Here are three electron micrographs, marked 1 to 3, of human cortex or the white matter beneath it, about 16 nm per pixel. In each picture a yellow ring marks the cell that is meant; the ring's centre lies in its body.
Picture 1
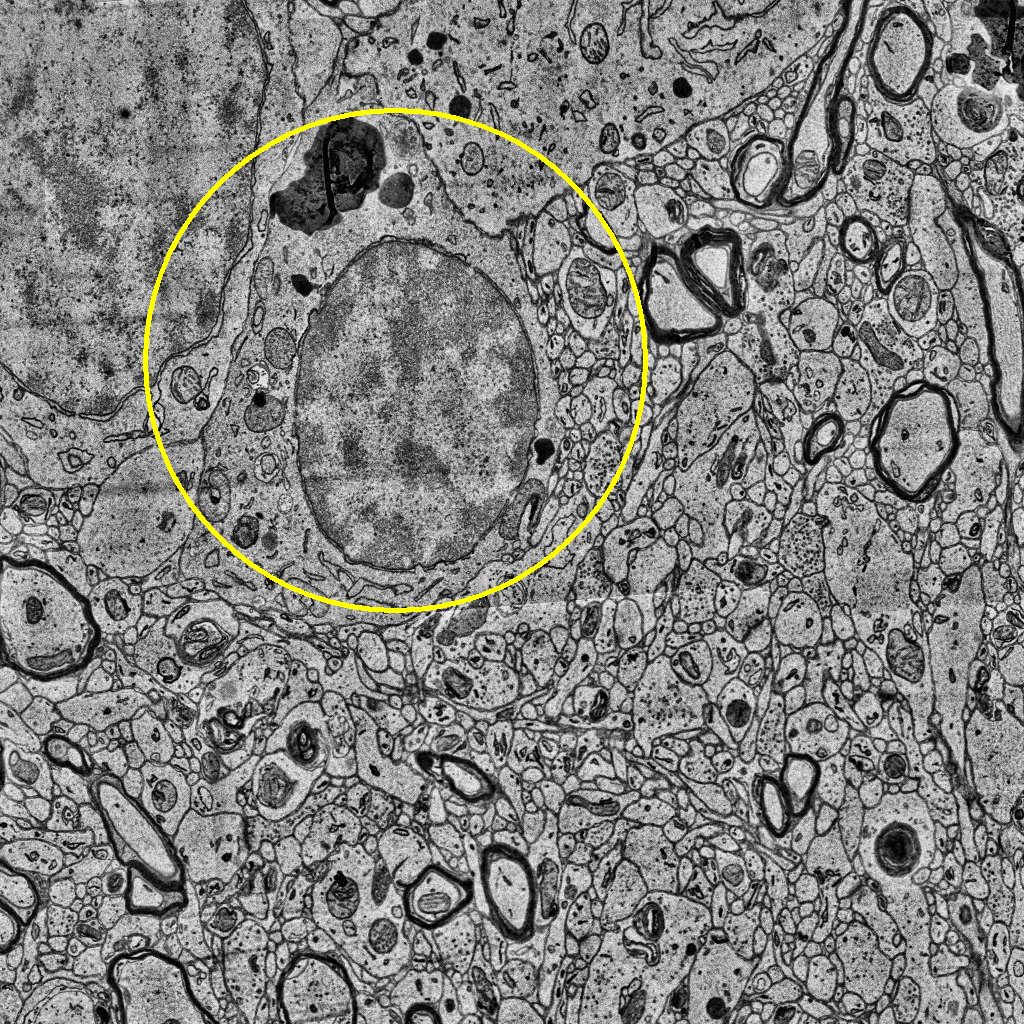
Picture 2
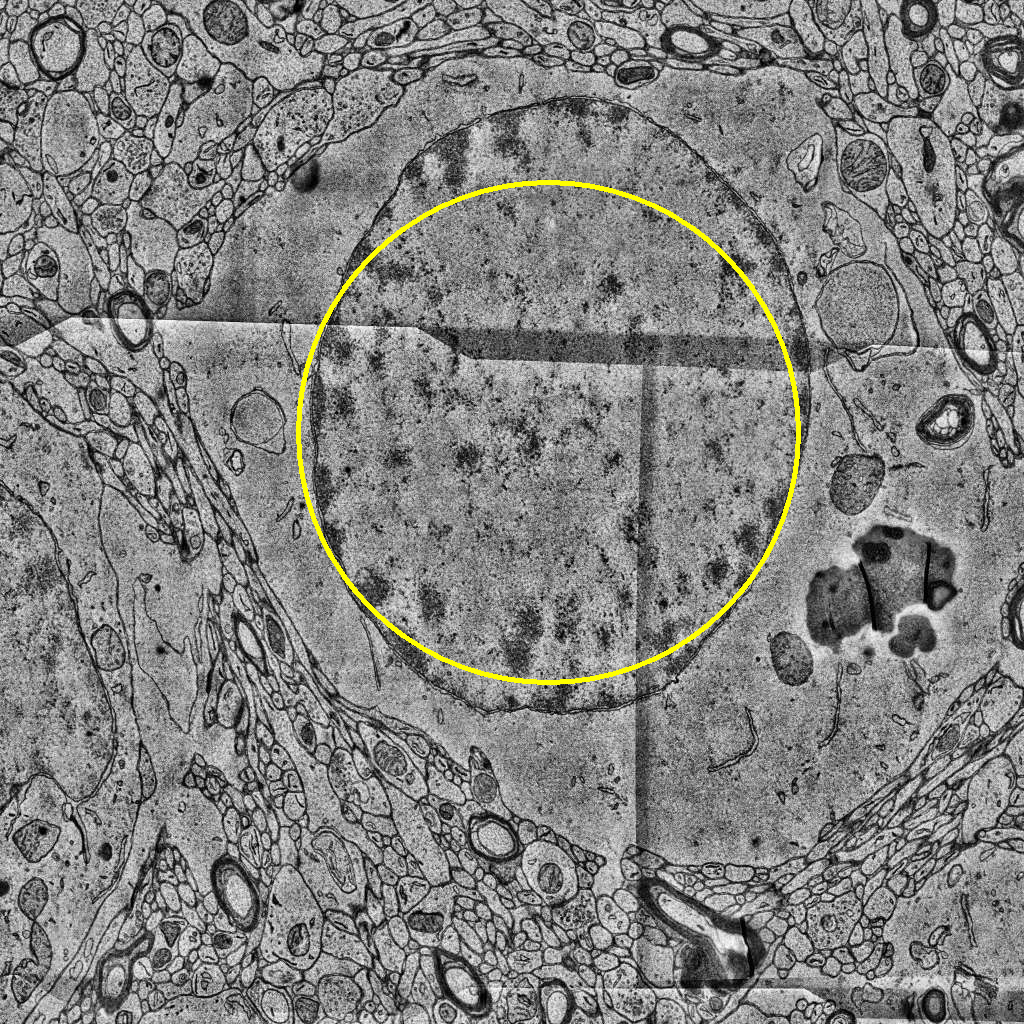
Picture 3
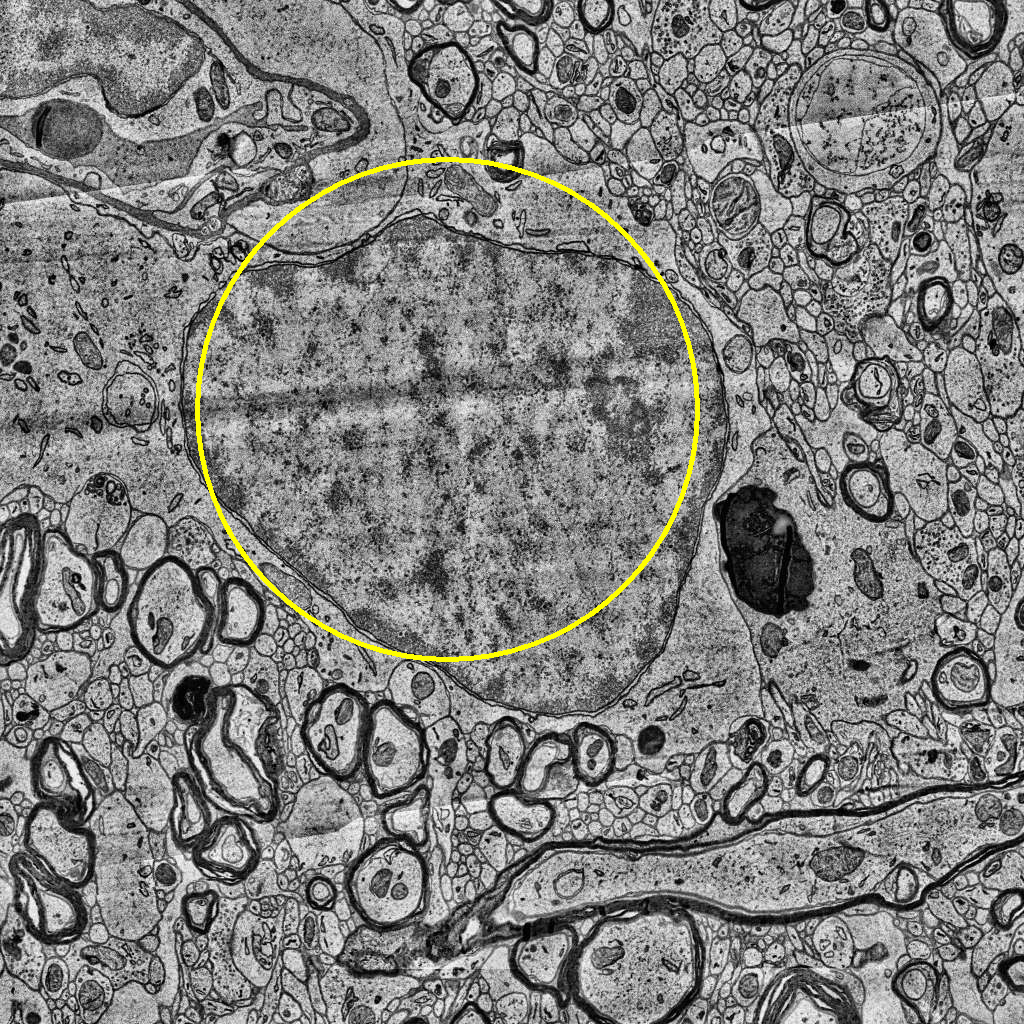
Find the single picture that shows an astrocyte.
The astrocyte is the one in picture 2.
